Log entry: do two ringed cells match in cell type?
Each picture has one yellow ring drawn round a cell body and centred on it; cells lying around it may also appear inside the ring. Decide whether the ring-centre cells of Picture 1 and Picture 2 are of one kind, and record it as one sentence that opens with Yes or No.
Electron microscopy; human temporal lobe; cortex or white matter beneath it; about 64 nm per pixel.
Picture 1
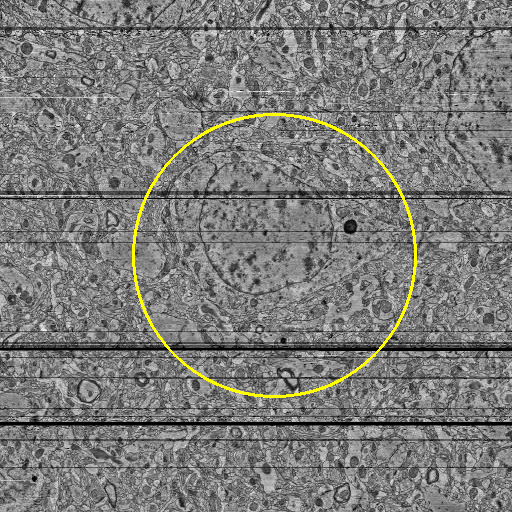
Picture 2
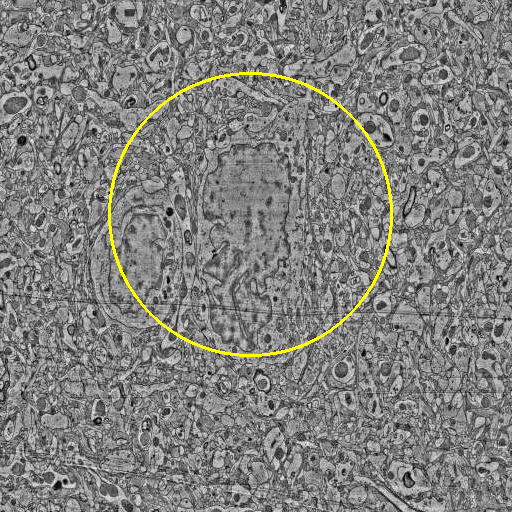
No, the cells at the ring centres of the two pictures belong to two kinds.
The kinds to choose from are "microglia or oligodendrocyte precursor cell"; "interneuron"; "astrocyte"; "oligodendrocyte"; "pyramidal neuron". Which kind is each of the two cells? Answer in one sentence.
Of the two, the first cell is a pyramidal neuron and the second cell is an interneuron.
